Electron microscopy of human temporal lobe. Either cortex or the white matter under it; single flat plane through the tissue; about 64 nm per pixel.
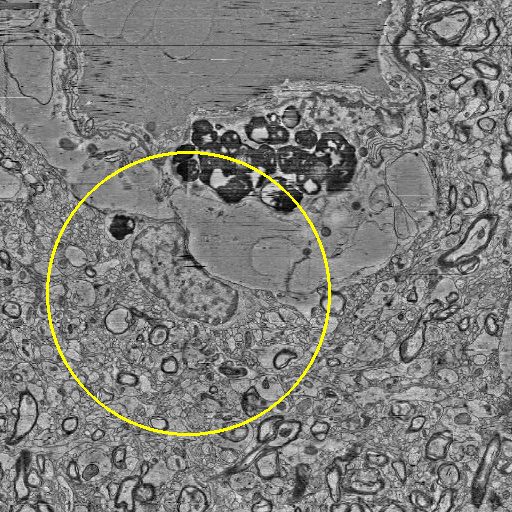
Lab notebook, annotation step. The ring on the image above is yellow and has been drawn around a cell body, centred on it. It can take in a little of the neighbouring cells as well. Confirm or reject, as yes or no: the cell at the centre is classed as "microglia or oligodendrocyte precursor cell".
No, the cell is of another class.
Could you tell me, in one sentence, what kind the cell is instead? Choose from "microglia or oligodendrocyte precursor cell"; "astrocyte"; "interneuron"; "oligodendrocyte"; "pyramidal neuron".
The ring's central cell is an oligodendrocyte instead.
